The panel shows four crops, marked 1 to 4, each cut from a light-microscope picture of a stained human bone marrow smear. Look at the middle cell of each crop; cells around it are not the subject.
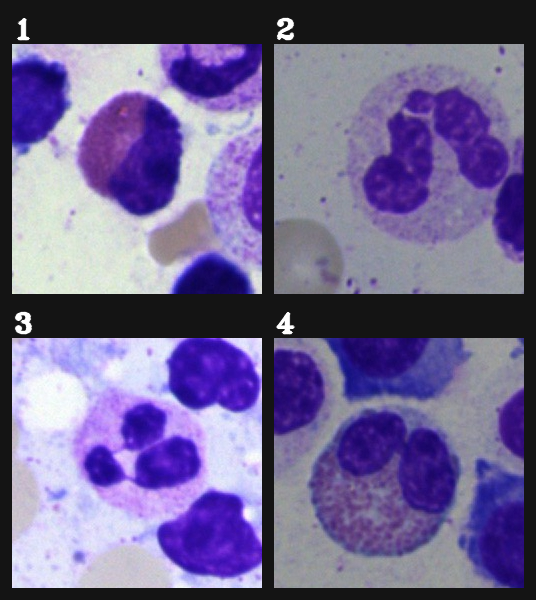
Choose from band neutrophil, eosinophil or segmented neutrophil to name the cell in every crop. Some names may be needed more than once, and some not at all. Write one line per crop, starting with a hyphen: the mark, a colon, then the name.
- 1: eosinophil
- 2: segmented neutrophil
- 3: segmented neutrophil
- 4: eosinophil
